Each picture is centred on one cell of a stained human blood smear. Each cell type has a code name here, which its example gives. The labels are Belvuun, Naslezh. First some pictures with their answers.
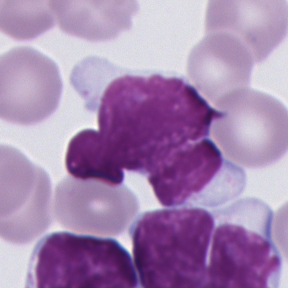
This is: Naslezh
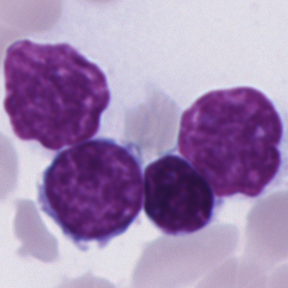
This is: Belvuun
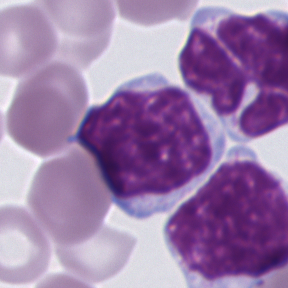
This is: Naslezh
